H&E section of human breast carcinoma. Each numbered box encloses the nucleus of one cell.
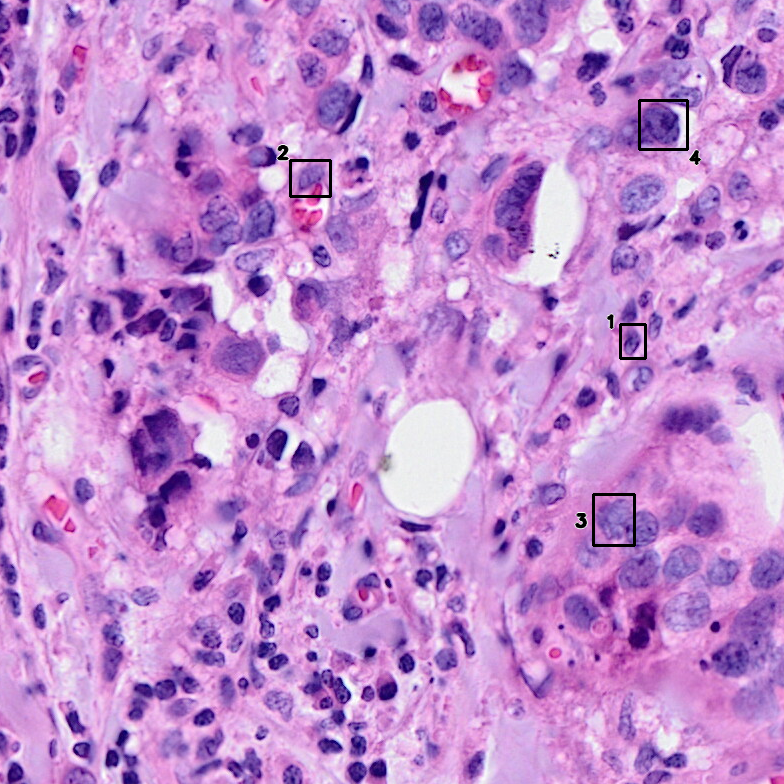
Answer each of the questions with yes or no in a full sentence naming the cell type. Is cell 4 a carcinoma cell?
Yes, that is so; number 4 marks a carcinoma cell.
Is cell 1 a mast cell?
Yes, the cell whose number is 1 is a mast cell.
